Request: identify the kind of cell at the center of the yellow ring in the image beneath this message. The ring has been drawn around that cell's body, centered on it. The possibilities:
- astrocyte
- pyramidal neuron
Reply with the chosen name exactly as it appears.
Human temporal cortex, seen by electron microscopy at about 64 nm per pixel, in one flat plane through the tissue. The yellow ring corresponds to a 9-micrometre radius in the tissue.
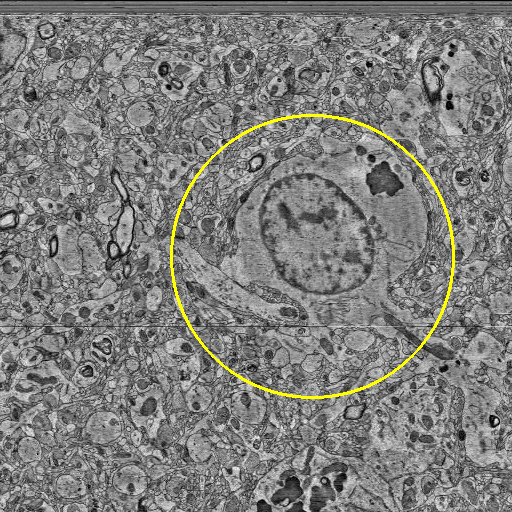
astrocyte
